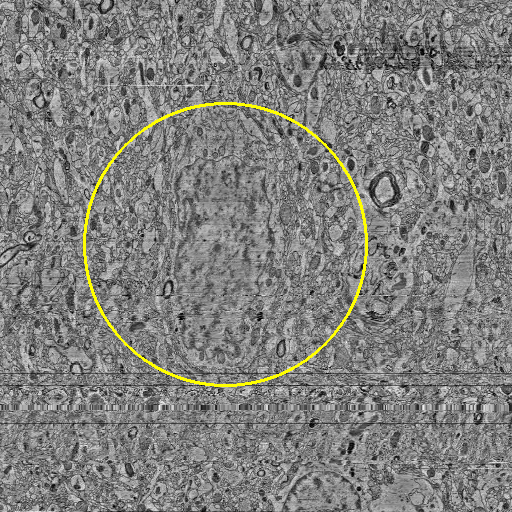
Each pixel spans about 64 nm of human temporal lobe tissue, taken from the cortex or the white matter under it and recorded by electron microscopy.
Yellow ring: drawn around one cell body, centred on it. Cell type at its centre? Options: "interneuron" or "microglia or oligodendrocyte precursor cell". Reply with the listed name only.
interneuron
